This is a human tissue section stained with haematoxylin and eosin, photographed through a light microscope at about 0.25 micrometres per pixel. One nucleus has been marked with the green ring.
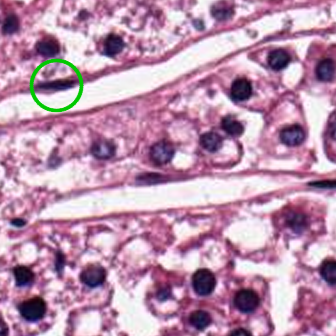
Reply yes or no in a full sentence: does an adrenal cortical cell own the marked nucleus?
No, it is to a supporting cell that the marked nucleus belongs, not to an adrenal cortical cell.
